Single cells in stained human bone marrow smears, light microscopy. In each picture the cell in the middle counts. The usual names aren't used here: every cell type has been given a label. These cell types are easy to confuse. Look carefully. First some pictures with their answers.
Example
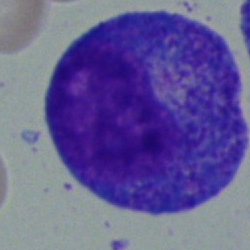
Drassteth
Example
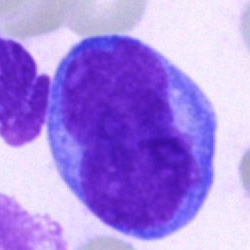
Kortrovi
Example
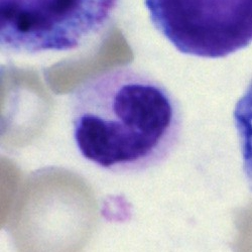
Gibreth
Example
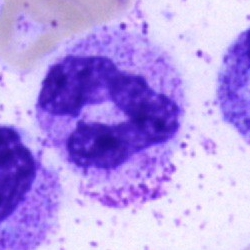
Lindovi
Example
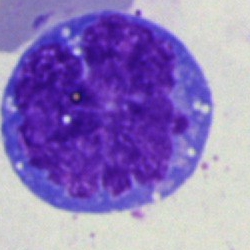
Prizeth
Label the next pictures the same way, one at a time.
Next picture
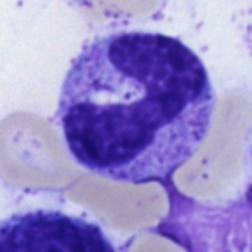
Gibreth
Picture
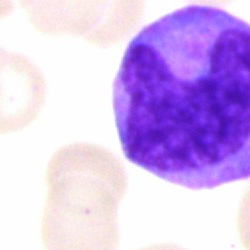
Prizeth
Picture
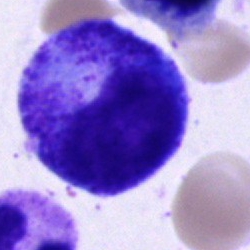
Drassteth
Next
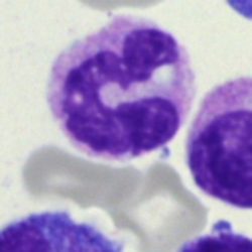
Gibreth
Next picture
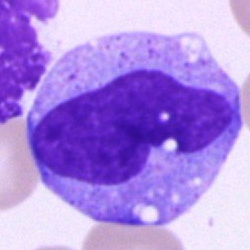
Prizeth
